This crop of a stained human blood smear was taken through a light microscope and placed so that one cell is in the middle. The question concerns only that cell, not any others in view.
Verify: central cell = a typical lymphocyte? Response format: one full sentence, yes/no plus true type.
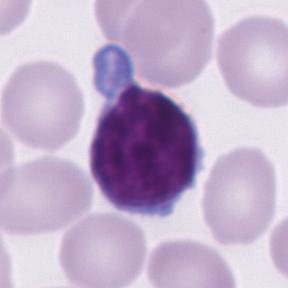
Yes, the cell in the middle of the view is a typical lymphocyte.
